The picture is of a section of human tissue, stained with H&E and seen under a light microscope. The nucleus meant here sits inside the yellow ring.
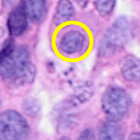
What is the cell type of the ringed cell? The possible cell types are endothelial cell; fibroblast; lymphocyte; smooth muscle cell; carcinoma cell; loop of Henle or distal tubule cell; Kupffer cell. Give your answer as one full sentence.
Just put down that the ringed cell is a carcinoma cell.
